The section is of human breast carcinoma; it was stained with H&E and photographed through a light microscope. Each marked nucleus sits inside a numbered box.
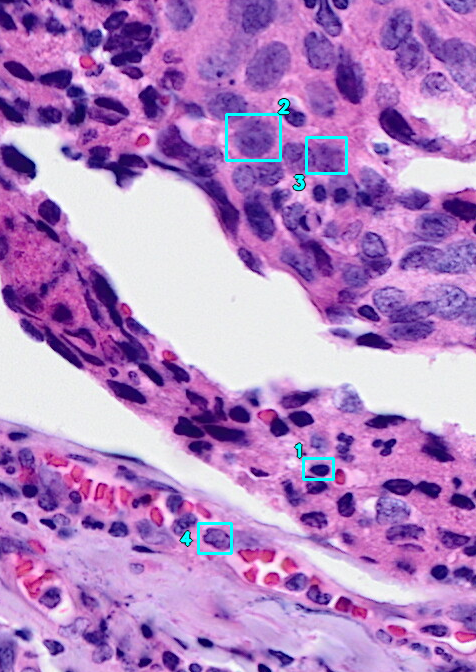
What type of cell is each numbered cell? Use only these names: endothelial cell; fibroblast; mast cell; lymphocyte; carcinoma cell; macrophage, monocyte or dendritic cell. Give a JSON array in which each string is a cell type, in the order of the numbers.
["lymphocyte", "carcinoma cell", "carcinoma cell", "endothelial cell"]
